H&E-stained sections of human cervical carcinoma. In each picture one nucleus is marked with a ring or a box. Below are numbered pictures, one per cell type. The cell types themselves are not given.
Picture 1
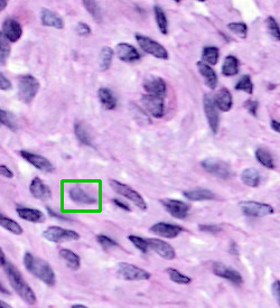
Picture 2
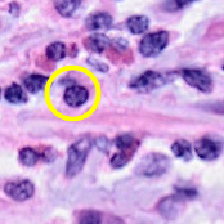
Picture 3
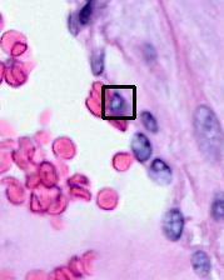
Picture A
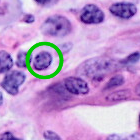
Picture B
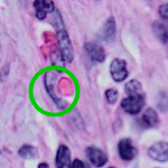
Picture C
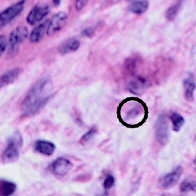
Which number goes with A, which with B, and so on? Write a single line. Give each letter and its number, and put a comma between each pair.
A 2, B 3, C 1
